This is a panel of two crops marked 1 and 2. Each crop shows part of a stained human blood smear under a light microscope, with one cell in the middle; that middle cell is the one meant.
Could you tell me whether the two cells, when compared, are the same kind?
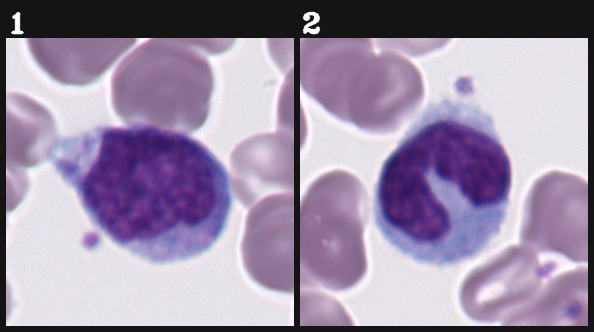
yes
